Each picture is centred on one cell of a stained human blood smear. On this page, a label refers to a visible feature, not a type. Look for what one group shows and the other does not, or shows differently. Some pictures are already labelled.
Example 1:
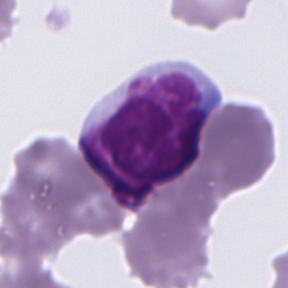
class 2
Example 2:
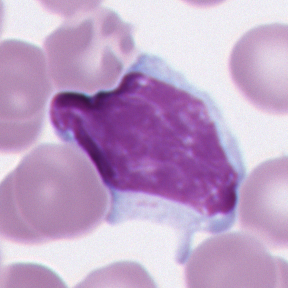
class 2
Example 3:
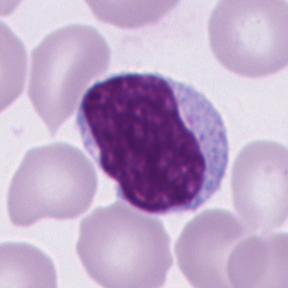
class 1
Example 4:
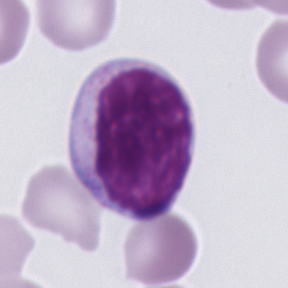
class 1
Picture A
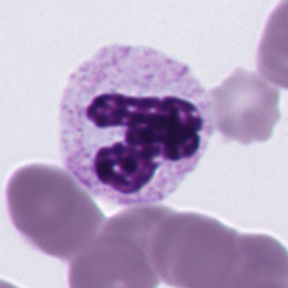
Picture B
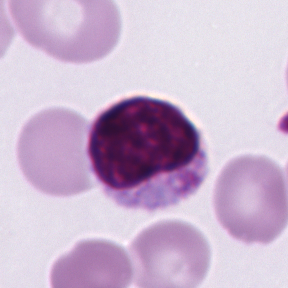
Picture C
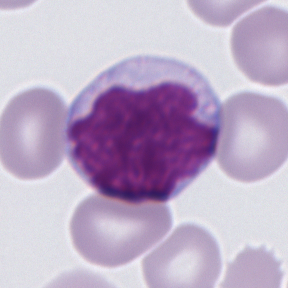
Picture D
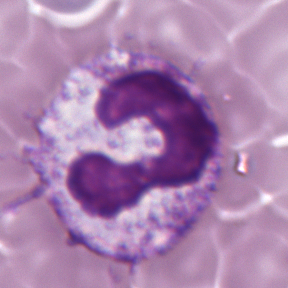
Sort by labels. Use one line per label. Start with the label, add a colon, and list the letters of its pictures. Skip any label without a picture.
class 2: D
class 1: A, B, C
